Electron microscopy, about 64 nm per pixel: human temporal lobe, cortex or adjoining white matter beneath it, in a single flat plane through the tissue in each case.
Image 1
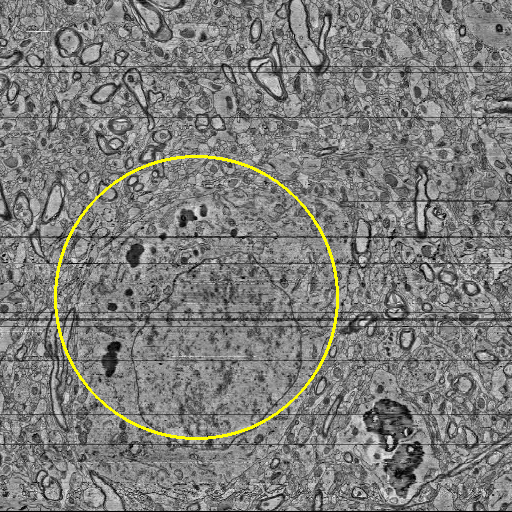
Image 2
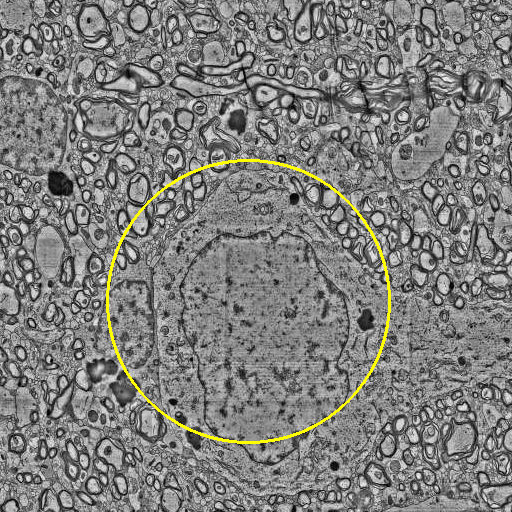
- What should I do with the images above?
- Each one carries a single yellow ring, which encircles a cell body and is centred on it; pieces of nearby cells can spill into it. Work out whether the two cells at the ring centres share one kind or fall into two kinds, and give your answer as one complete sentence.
The ring-centre cells of Image 1 and Image 2 share one kind.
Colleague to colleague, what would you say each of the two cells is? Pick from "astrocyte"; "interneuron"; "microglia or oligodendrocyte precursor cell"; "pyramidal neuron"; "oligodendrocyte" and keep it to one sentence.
In both pictures the ring is centred on a pyramidal neuron.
